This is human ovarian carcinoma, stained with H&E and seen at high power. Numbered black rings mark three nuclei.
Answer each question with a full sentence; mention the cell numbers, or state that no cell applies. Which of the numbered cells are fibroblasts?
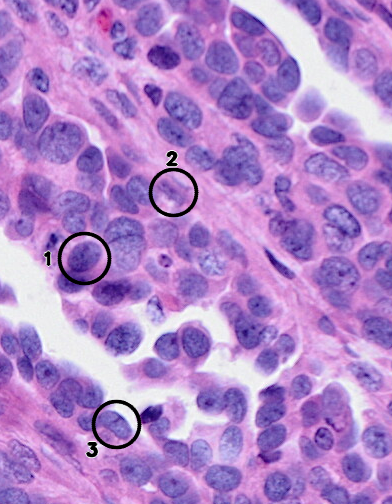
As for the numbered cells, only cell 2 is a fibroblast.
